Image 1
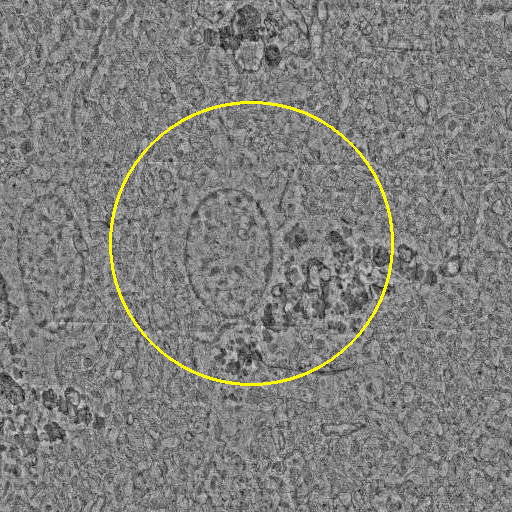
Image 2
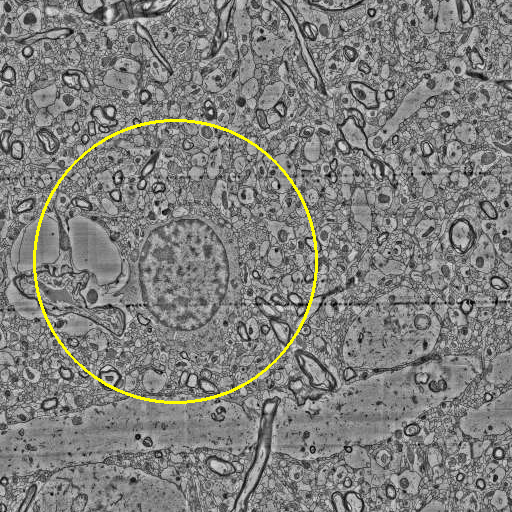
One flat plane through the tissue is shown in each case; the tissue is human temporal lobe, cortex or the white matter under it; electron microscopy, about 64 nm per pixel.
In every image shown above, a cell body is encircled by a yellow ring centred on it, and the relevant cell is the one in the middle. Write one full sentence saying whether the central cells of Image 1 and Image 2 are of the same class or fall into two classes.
The cell at the ring's centre in Image 1 and its counterpart in Image 2 fall into two classes.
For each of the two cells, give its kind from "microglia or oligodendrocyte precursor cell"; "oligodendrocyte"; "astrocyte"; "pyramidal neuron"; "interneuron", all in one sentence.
The first picture has an astrocyte in its ring, the second has an oligodendrocyte.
